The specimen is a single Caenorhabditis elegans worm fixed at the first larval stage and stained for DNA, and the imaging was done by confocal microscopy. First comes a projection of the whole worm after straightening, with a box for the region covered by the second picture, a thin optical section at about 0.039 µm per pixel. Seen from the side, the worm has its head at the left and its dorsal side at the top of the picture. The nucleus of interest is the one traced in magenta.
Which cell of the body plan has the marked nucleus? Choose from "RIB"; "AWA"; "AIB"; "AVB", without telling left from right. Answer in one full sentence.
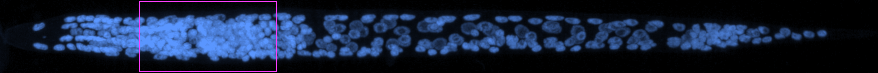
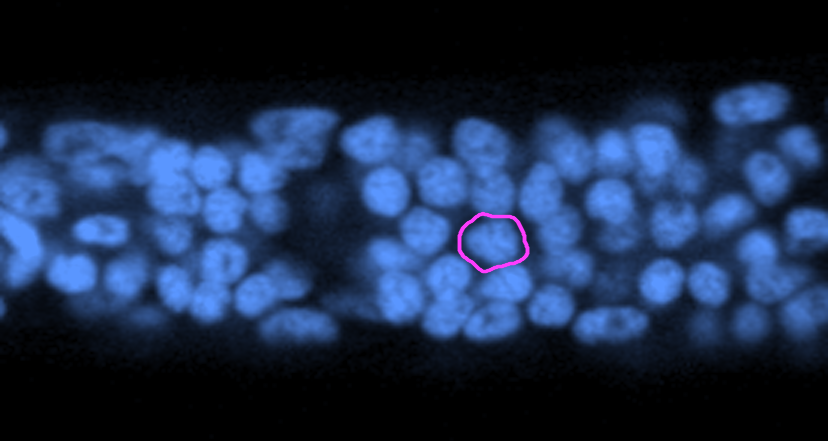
The marked nucleus belongs to AIB, a neuron.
